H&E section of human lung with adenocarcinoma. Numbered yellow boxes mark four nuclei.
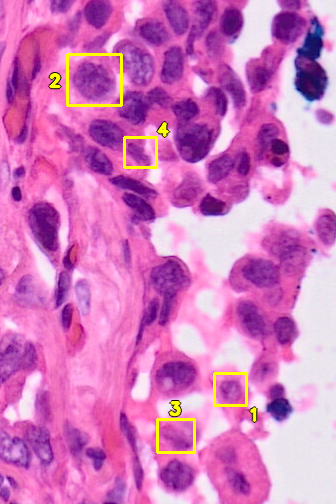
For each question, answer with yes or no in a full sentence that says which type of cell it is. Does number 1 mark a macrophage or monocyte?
Yes, the number 1 belongs to a macrophage or monocyte.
